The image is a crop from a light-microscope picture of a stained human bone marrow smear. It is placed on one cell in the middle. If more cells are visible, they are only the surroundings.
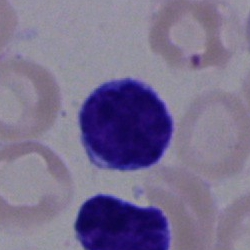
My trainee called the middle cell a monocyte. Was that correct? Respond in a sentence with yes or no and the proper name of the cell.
No, the cell found centrally in the crop is a lymphocyte, not a monocyte.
